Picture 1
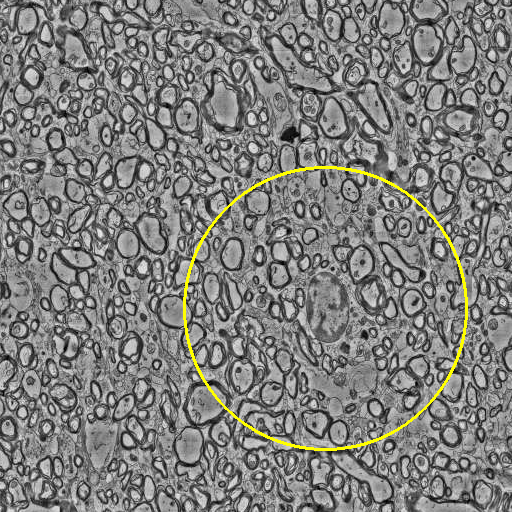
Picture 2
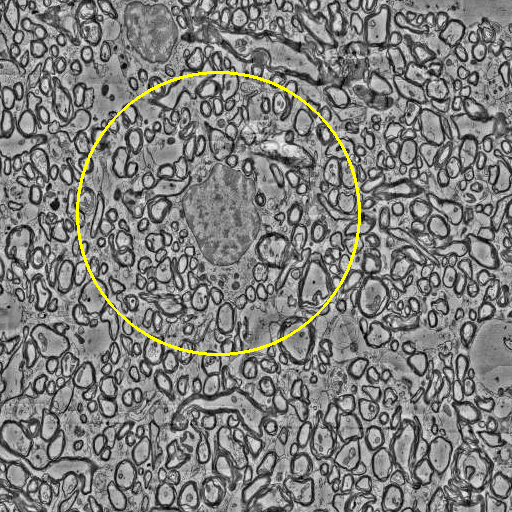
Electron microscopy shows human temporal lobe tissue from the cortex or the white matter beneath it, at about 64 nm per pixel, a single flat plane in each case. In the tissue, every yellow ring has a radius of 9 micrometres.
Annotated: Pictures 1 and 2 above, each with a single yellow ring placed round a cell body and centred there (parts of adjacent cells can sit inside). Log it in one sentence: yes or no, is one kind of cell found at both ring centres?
No, the ring centres of the two pictures hold cells of two kinds.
